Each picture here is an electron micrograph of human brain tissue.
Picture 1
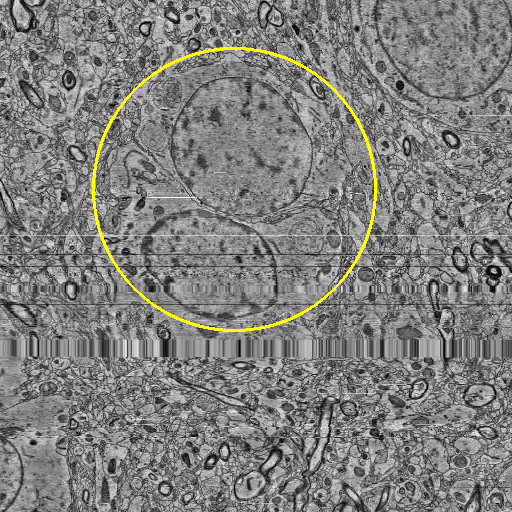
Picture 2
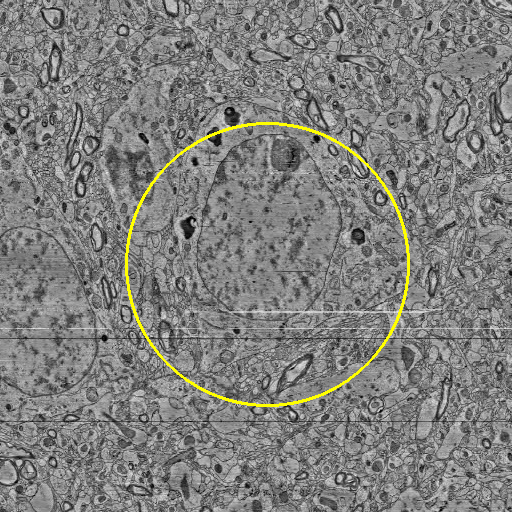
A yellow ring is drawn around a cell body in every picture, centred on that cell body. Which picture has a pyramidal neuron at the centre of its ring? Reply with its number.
2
